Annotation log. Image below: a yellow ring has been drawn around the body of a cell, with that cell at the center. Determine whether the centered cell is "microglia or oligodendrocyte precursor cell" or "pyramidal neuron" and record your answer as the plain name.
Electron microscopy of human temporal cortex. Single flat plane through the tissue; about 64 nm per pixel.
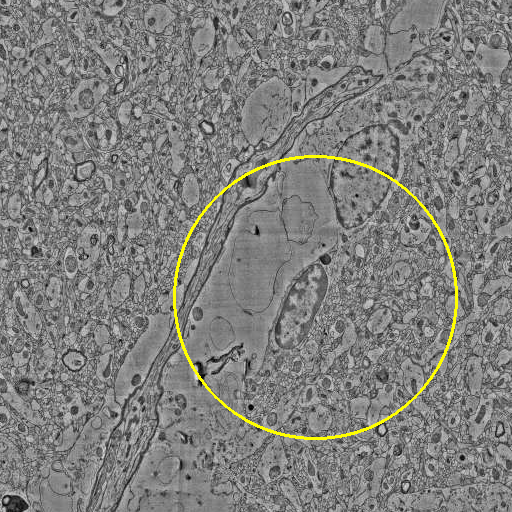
microglia or oligodendrocyte precursor cell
